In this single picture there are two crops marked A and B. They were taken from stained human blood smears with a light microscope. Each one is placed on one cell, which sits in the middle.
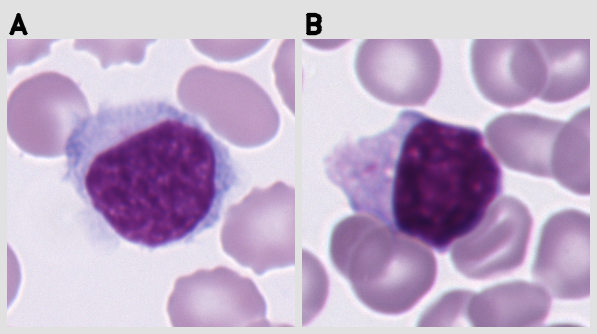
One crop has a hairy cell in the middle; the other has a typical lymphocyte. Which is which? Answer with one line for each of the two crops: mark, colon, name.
A: hairy cell
B: typical lymphocyte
